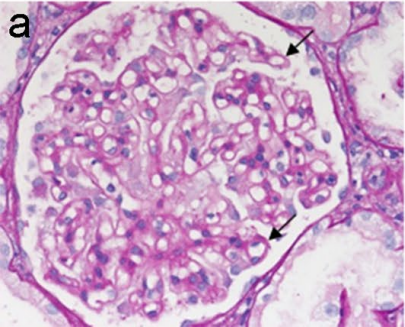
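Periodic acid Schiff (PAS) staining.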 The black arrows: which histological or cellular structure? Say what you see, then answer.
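The arrows point at magenta-stained loop walls at the edge of a round tuft. The loop walls are thick and rigid-looking, outlining open round lumina.
Answer: prominent glomerular capillary walls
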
